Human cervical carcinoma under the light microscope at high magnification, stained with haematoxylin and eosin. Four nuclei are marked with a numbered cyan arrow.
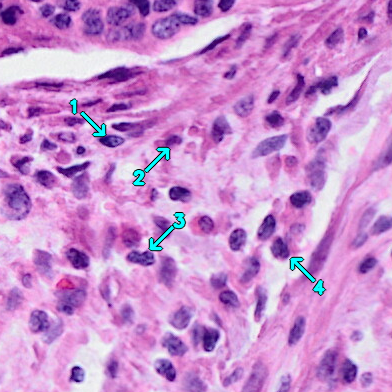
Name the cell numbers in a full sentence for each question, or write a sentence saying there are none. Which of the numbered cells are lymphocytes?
Cells 1, 3 and 4 are recognised here as lymphocytes.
